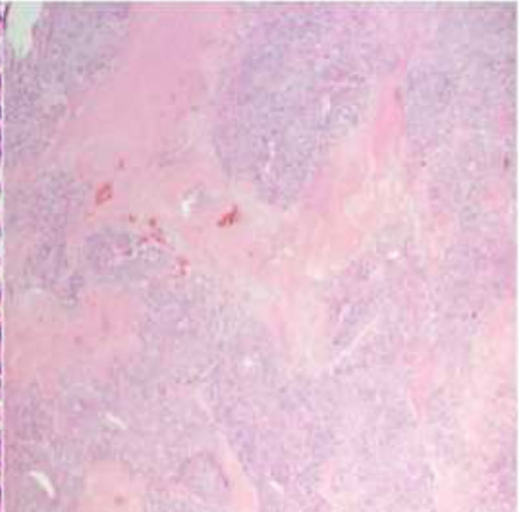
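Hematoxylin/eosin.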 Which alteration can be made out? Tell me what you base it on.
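Coagulative tumoral necrosis. Broad pale pink areas without nuclei. These areas lie between purple zones of dense cellular tumor. The boundary between the pink areas and the cellular zones is abrupt.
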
